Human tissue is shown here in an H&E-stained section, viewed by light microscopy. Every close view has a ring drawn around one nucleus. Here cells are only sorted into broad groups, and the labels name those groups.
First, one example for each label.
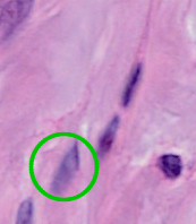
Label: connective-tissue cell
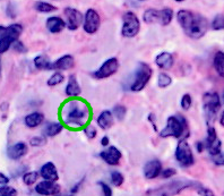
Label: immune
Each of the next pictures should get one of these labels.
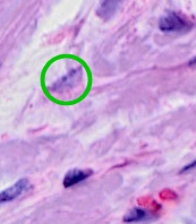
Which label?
connective-tissue cell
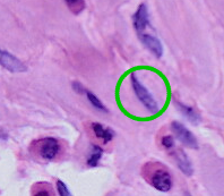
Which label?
connective-tissue cell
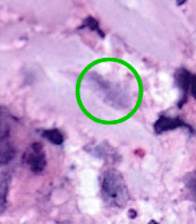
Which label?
connective-tissue cell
